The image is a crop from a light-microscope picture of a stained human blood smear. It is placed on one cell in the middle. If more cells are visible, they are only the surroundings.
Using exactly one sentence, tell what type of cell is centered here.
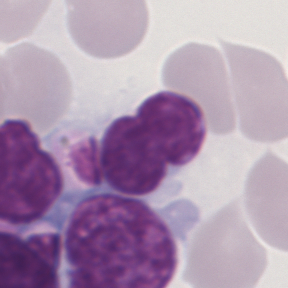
What sits at the centre of this crop is a blast.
